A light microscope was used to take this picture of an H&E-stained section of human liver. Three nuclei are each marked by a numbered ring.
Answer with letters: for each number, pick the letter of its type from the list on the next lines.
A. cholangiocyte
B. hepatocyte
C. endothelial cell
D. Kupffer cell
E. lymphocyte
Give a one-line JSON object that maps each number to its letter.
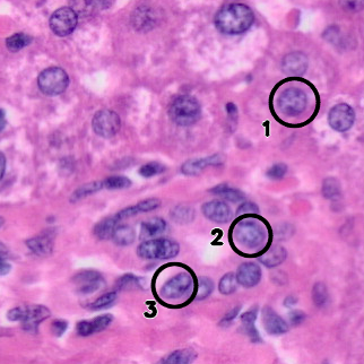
{"1": "B", "2": "A", "3": "A"}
